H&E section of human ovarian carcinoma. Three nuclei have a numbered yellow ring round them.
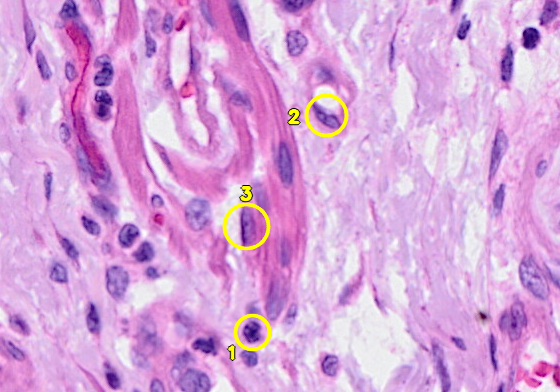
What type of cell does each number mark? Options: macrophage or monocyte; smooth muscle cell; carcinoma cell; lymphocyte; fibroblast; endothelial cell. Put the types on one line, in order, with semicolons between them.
lymphocyte; endothelial cell; smooth muscle cell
